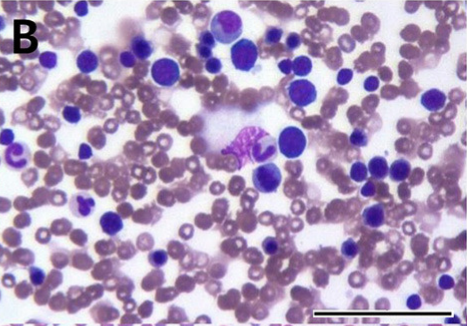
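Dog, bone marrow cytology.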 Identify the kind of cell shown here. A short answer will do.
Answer: well-differentiated lymphoid cells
